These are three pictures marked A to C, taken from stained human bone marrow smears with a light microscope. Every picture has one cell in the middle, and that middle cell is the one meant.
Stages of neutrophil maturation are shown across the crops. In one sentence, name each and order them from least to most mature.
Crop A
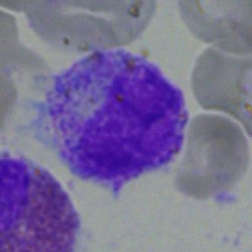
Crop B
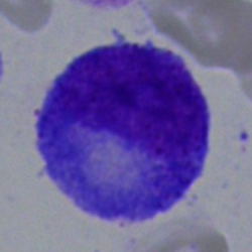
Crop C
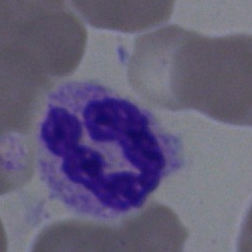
From the earliest stage onward, the order is crop B (a promyelocyte), crop A (a metamyelocyte) and crop C (a segmented neutrophil).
